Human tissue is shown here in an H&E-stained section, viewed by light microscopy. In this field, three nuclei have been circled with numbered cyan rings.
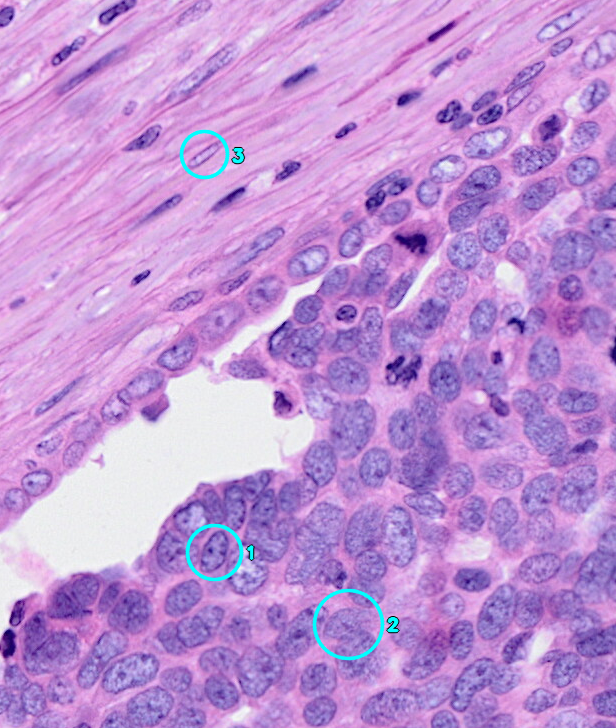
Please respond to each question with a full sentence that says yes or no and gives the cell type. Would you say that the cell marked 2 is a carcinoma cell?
Yes, the marked cell with number 2 is a carcinoma cell.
